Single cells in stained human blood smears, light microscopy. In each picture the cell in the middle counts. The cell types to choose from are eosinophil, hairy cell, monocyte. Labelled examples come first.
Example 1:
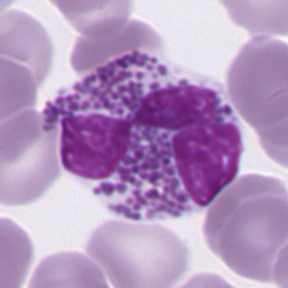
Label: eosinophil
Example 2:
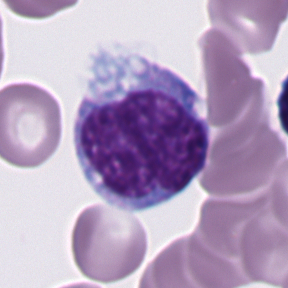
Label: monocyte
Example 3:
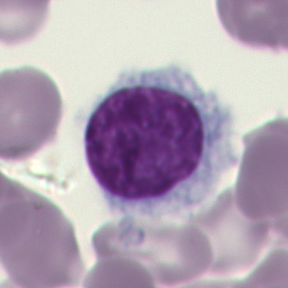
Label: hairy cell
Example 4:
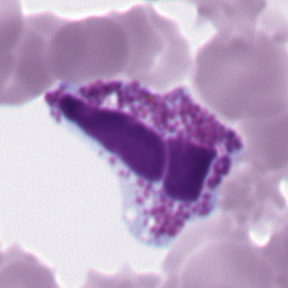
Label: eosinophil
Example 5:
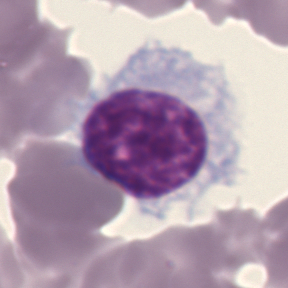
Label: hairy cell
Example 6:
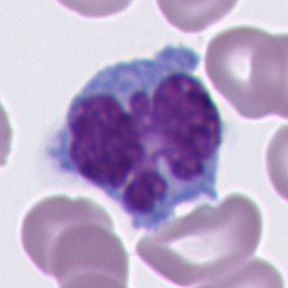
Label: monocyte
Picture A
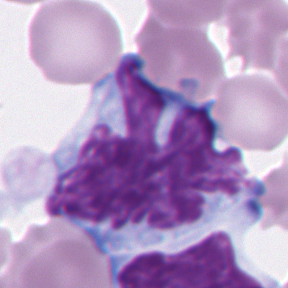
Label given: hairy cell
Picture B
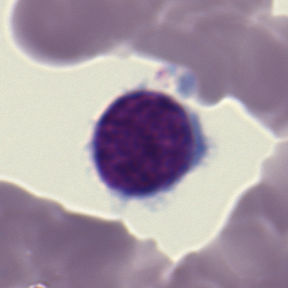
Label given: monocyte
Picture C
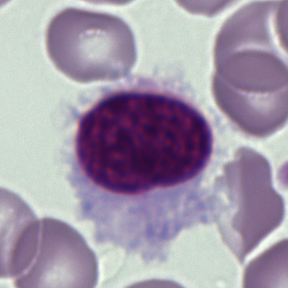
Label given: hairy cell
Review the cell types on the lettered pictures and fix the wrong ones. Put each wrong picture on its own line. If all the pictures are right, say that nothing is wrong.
A is labelled hairy cell; correct label: monocyte
B is labelled monocyte; correct label: hairy cell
